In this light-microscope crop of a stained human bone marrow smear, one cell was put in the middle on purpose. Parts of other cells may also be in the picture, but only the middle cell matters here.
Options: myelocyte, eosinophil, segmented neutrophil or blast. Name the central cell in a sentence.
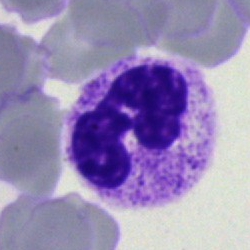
The cell at the heart of this crop is a segmented neutrophil.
